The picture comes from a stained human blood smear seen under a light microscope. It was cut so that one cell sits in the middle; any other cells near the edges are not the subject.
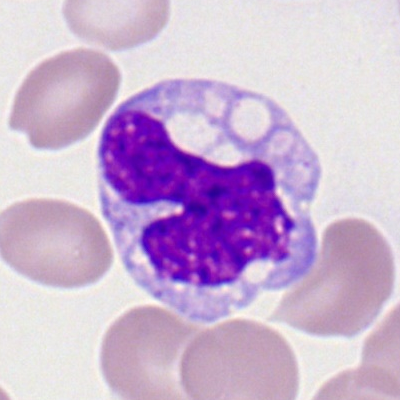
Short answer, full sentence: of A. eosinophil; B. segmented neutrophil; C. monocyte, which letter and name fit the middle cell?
The cell at the centre, correctly named in option C, is a monocyte.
